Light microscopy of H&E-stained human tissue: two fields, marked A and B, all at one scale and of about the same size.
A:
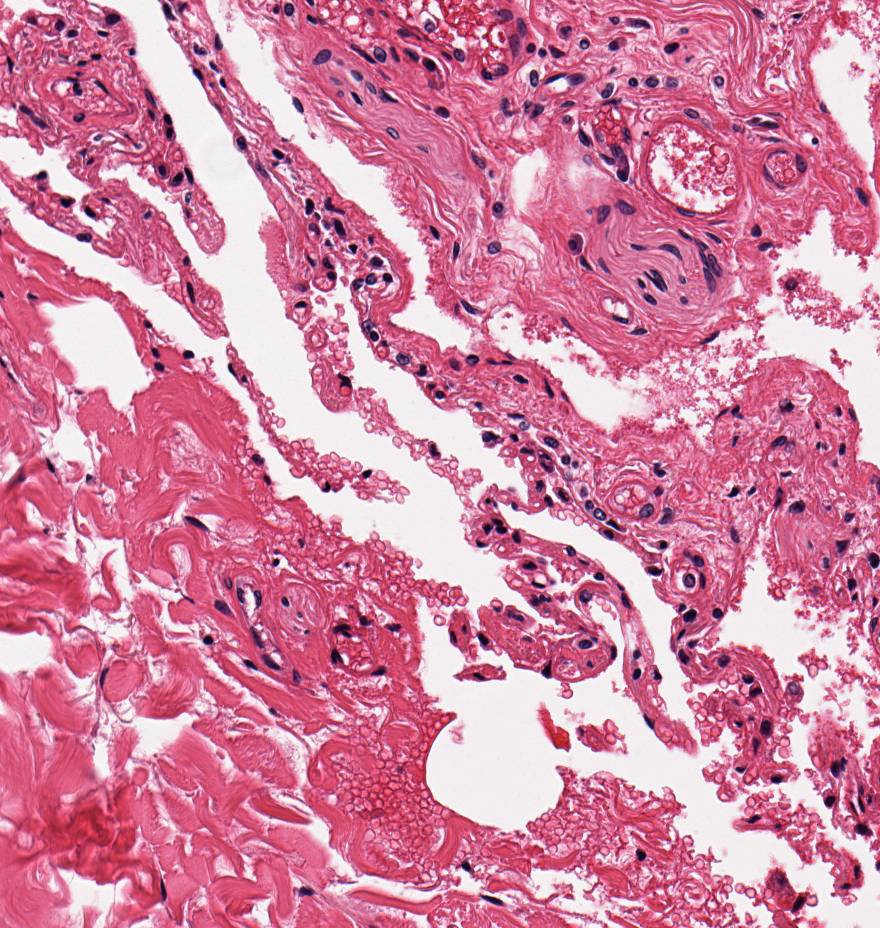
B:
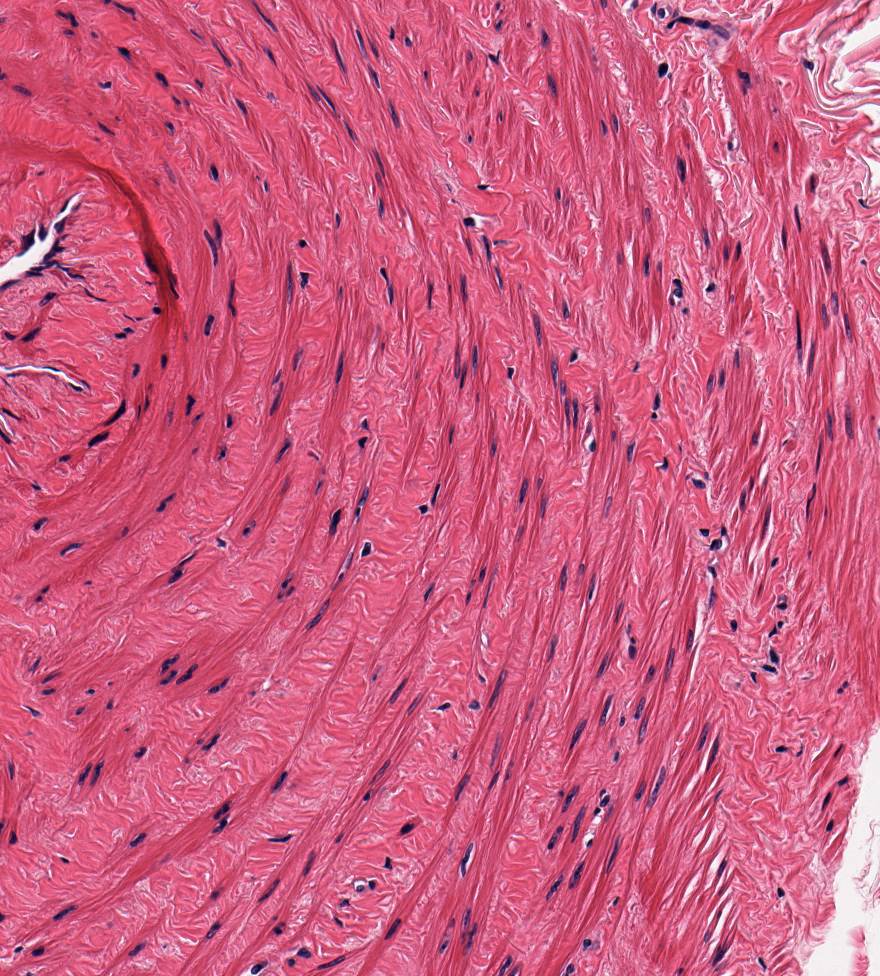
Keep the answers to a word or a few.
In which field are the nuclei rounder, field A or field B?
A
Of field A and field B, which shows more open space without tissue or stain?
A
